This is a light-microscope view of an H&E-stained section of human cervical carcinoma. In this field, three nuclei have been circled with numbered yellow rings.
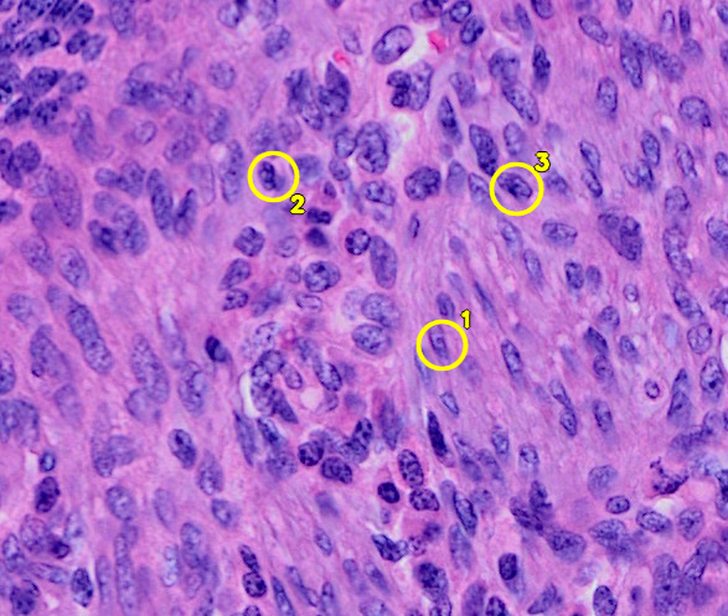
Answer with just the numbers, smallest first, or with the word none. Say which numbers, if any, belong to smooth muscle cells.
1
